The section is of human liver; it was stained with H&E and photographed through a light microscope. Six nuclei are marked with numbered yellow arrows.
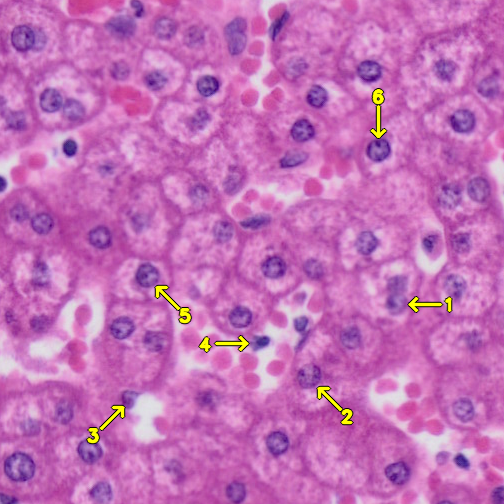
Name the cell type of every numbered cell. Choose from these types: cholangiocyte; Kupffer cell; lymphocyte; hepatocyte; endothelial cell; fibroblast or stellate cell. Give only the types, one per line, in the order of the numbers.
hepatocyte
hepatocyte
fibroblast or stellate cell
lymphocyte
hepatocyte
hepatocyte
